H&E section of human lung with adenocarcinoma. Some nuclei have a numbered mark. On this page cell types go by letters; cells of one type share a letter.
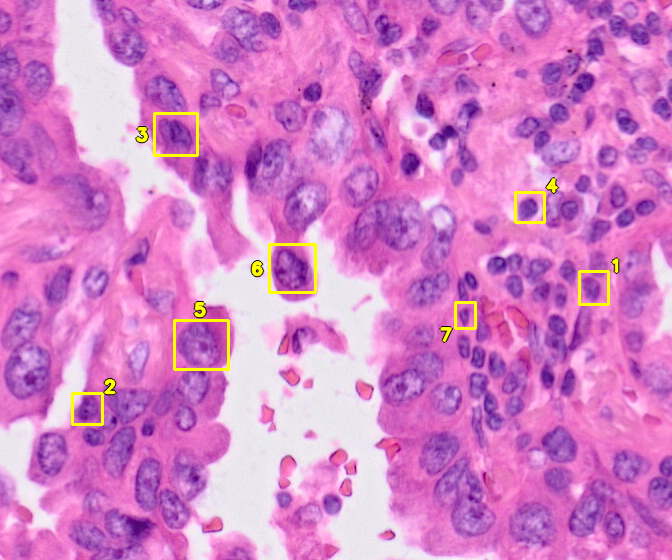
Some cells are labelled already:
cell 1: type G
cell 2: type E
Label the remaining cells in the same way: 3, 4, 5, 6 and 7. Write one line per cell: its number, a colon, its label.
3: type E
4: type G
5: type E
6: type E
7: type G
